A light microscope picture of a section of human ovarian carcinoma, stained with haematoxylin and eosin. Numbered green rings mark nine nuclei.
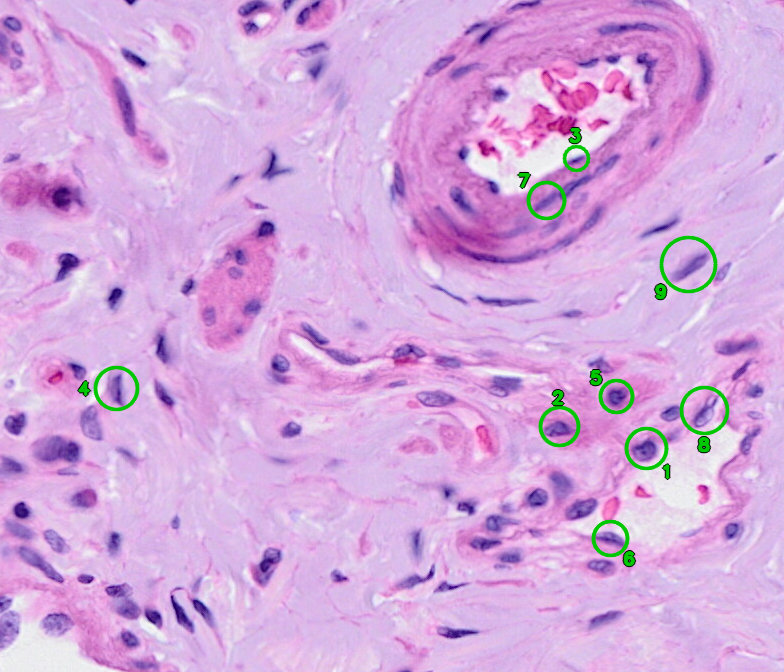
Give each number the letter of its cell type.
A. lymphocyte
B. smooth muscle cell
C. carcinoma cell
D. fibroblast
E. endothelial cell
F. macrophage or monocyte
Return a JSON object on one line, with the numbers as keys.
{"1": "E", "2": "B", "3": "E", "4": "D", "5": "B", "6": "E", "7": "B", "8": "E", "9": "D"}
